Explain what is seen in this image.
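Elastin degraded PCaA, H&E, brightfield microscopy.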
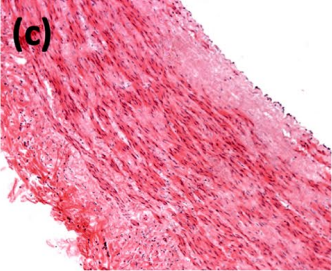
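Arterial wall stained bright pink to red with numerous dark purple nuclei. Elongated, spindle-shaped nuclei lie in parallel rows oriented obliquely across the field, following fibrous strands of pink matrix. The regular wavy lamellar pattern is less distinct, the matrix appearing as straight streaks rather than crisp undulating layers.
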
